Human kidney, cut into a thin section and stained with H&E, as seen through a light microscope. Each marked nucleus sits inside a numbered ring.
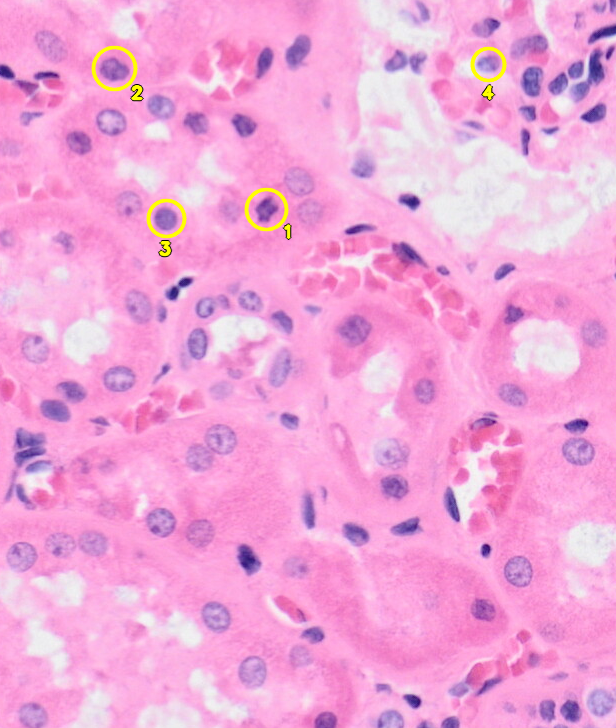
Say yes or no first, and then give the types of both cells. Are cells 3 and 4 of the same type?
No, as to type, cell 3 is a proximal tubule cell, and cell 4 is an endothelial cell.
